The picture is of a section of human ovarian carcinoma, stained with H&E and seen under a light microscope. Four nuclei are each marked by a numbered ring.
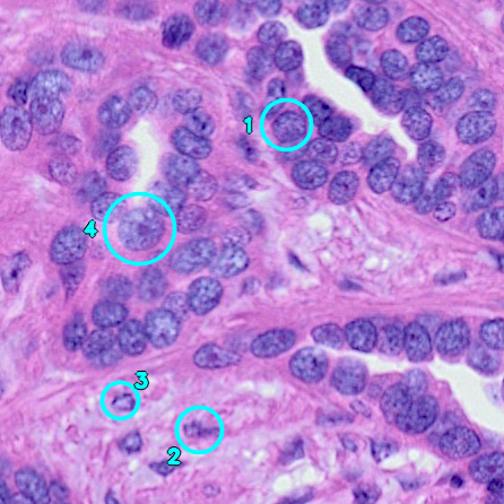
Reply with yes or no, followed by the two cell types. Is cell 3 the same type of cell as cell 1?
No, cell 3 is a fibroblast, and cell 1 is, by contrast, a carcinoma cell.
